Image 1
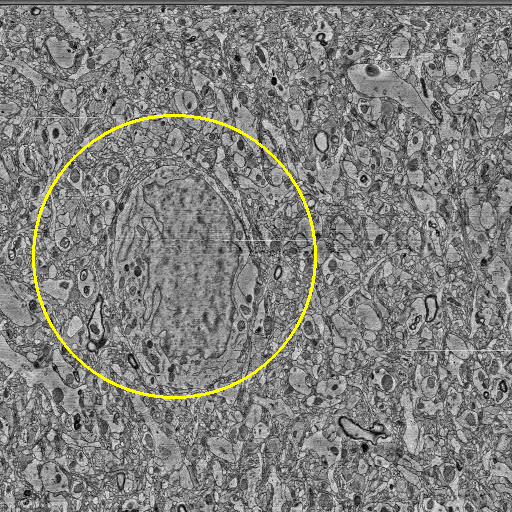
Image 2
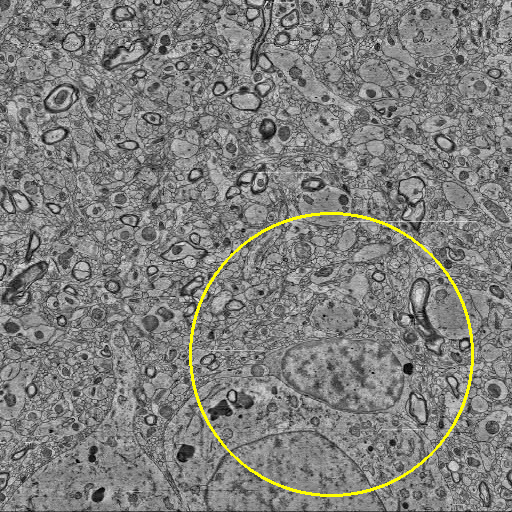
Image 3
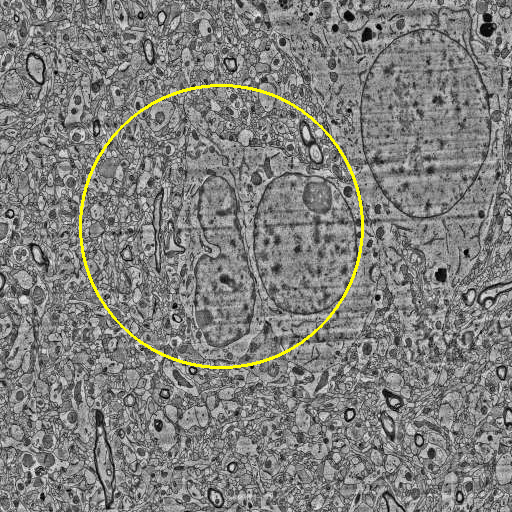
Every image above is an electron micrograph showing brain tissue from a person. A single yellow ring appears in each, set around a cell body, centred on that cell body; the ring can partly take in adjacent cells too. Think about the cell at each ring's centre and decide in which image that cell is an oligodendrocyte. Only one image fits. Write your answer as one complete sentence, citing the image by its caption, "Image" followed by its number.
Image 2 is the one whose ringed central cell fits the description.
